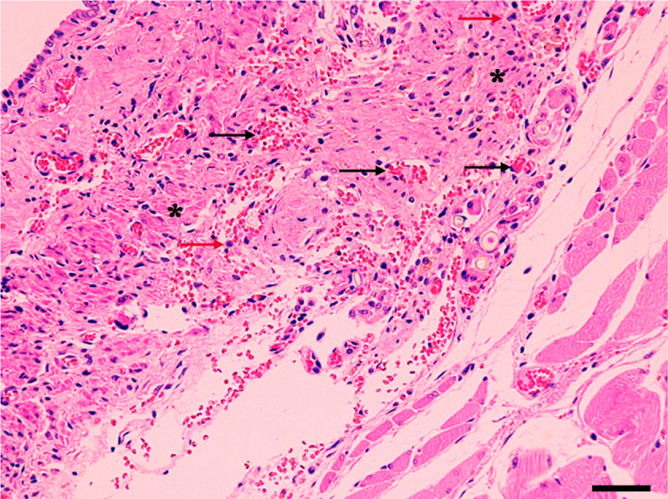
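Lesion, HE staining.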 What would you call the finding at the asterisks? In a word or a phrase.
Fibroblastic proliferation.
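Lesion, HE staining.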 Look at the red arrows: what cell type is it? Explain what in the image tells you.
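Invasive immune cell. The red arrows point to small cells with dark purple nuclei scattered in the stroma. These cells lie among the pink fibrous tissue, outside vessels.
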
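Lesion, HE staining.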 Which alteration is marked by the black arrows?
congestion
